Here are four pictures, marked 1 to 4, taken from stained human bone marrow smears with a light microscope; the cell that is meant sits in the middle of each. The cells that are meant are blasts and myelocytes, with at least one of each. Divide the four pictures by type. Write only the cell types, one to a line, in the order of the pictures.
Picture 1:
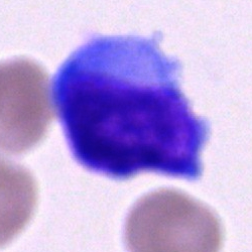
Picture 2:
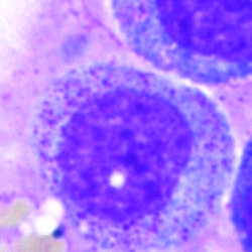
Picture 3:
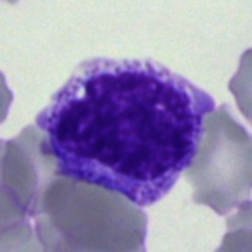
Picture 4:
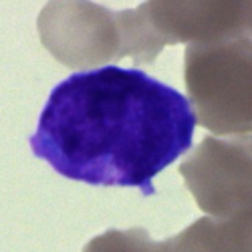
blast
myelocyte
myelocyte
blast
